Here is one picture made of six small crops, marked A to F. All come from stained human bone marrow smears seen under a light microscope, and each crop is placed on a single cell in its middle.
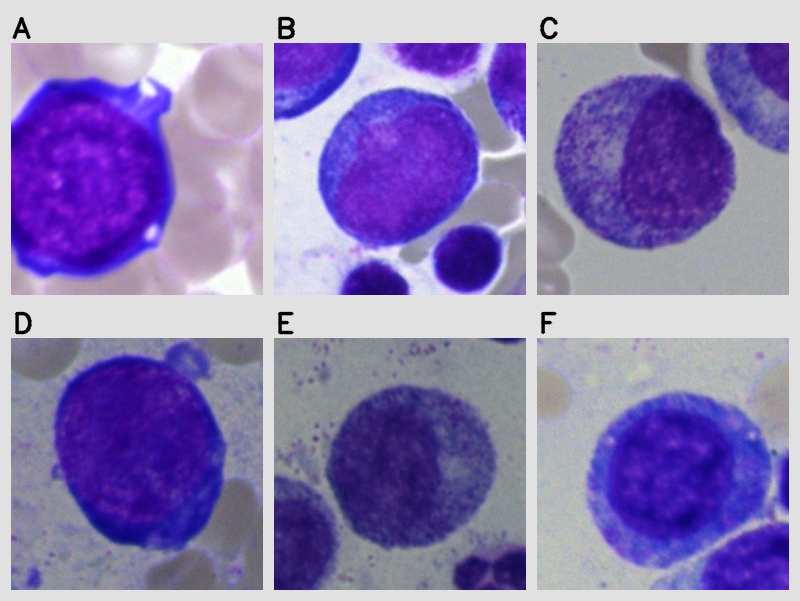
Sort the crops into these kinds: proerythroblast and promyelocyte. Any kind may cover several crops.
A: proerythroblast
B: proerythroblast
C: promyelocyte
D: proerythroblast
E: promyelocyte
F: promyelocyte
